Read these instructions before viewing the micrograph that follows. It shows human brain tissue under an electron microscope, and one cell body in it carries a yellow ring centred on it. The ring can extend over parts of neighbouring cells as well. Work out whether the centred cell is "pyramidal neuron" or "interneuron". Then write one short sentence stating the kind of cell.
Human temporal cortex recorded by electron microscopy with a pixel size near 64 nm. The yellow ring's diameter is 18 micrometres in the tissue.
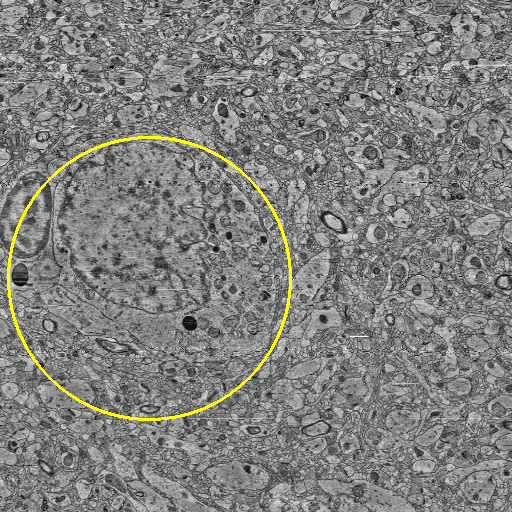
The ringed cell is an interneuron.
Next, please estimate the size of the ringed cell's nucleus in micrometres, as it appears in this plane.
The nucleus has a long axis of about 12 micrometres and a short axis of about 10 micrometres in this plane.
